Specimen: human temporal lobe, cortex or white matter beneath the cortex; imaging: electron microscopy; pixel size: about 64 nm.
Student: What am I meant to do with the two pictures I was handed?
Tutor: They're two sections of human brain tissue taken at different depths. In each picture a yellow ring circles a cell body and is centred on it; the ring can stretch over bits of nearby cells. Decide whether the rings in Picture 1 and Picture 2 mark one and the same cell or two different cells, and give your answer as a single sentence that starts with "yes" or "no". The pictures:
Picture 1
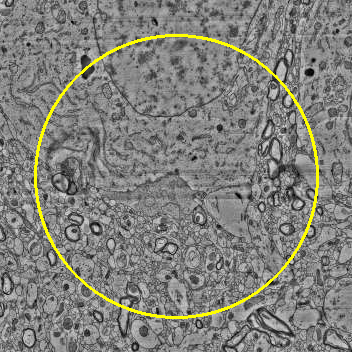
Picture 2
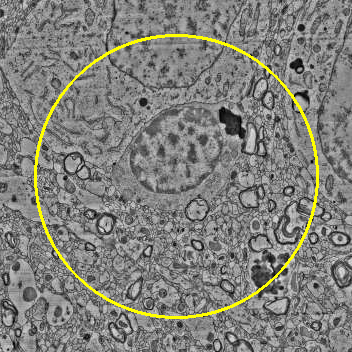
Yes, only one cell is involved, and both rings mark it.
